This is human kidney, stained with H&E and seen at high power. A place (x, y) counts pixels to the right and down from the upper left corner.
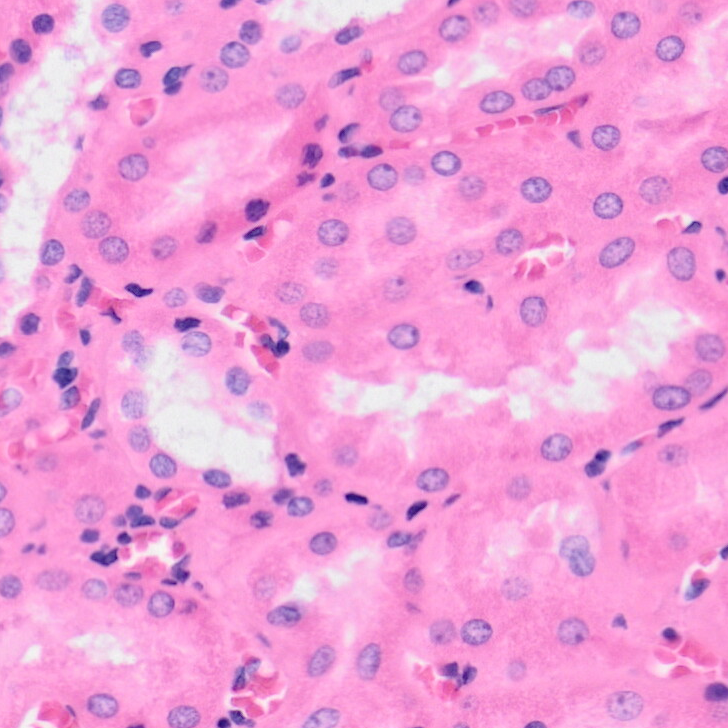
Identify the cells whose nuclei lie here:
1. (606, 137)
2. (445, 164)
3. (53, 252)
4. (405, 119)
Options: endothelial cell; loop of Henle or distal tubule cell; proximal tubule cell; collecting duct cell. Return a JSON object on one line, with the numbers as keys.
{"1": "proximal tubule cell", "2": "proximal tubule cell", "3": "loop of Henle or distal tubule cell", "4": "proximal tubule cell"}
